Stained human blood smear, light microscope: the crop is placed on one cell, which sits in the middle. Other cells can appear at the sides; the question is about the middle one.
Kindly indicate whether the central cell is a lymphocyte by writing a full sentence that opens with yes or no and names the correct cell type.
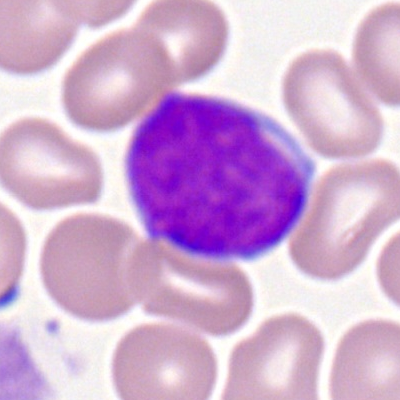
No, the one in the center is not a lymphocyte; it is a myeloblast.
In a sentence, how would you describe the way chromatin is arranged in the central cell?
Just so you know, its chromatin is coarsely clumped.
